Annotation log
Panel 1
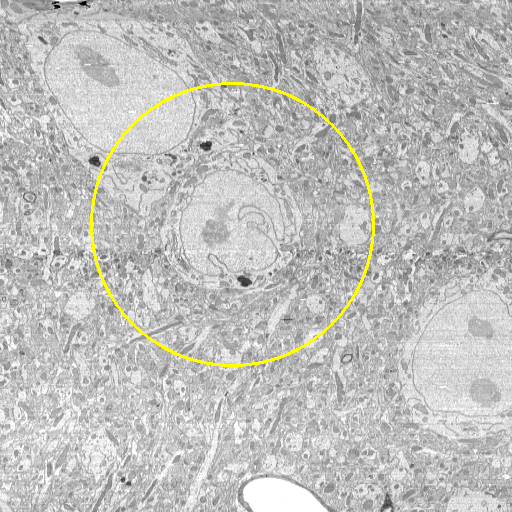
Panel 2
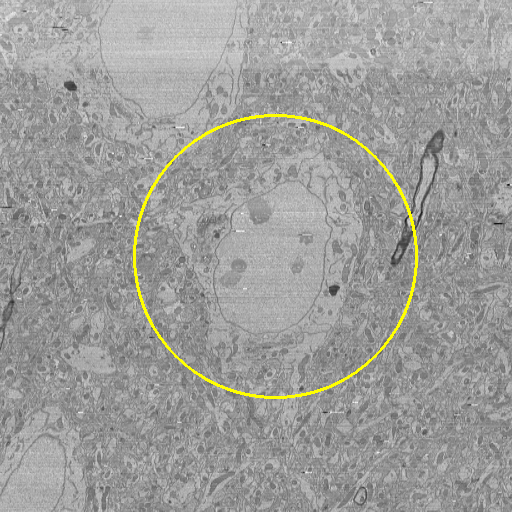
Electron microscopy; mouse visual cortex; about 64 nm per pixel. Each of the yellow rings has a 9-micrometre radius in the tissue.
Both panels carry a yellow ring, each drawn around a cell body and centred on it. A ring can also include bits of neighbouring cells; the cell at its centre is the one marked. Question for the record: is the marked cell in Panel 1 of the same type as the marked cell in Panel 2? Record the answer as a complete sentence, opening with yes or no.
No, the marked cells in Panel 1 and Panel 2 are of two types.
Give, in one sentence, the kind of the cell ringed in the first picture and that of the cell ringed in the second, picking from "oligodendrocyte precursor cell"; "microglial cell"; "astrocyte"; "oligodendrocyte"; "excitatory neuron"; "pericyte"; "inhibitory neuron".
For the first picture it is an inhibitory neuron; for the second, an excitatory neuron.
